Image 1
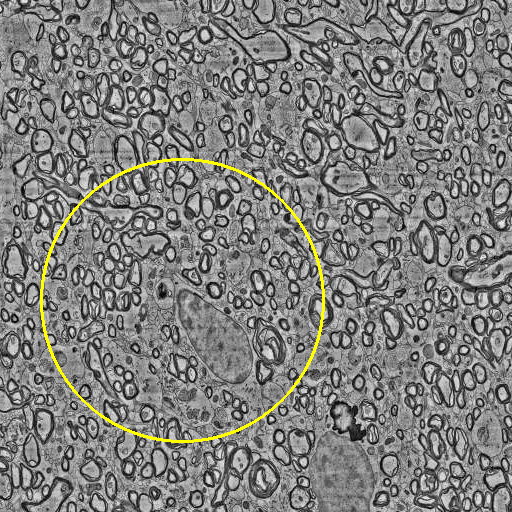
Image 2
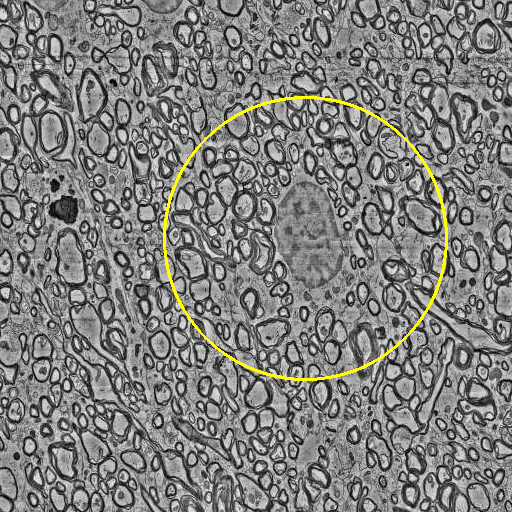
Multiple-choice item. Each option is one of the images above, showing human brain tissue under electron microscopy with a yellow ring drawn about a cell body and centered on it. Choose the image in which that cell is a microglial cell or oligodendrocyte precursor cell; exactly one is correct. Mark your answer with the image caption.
Image 1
